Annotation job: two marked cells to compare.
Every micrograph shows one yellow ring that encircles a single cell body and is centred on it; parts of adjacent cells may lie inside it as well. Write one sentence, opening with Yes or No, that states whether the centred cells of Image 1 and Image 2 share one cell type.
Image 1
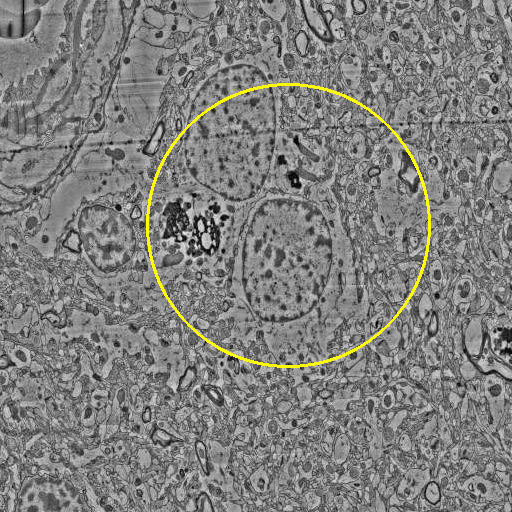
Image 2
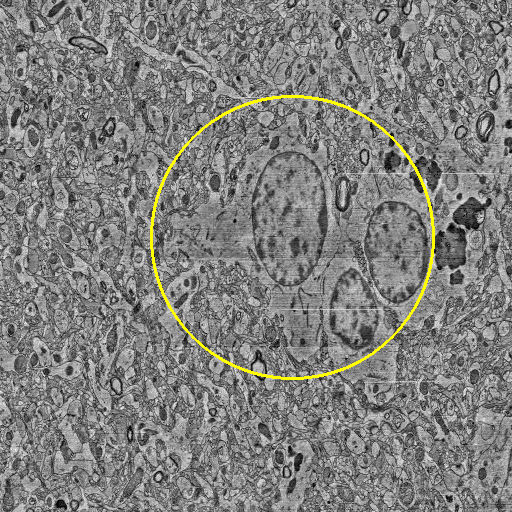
Yes, the cell centred in Image 1 shares its type with the cell centred in Image 2.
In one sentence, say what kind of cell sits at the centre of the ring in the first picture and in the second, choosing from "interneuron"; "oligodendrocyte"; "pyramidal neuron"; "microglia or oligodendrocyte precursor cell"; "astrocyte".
Each one of the two ringed cells is an astrocyte.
